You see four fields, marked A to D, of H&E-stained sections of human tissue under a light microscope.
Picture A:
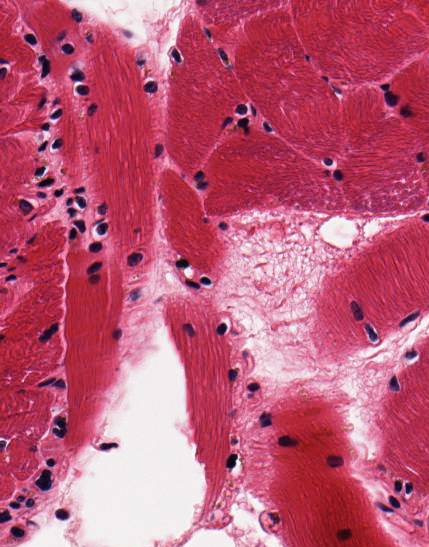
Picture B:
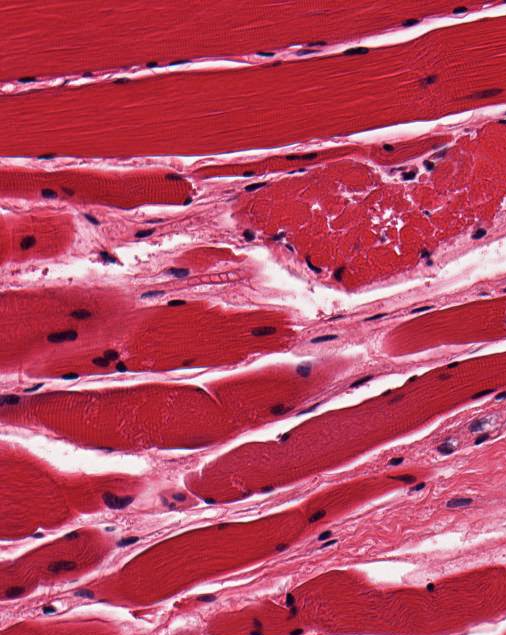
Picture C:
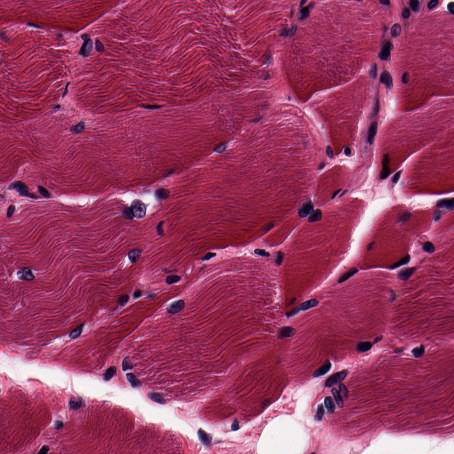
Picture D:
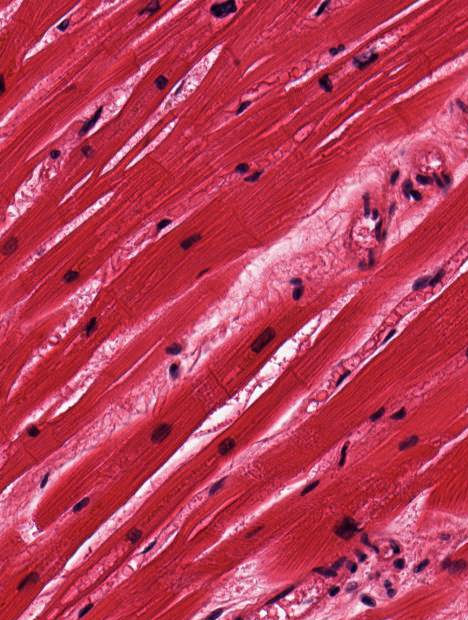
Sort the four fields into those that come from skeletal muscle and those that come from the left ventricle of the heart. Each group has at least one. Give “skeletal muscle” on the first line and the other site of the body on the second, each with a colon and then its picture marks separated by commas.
skeletal muscle: A, B, C
left ventricle of the heart: D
